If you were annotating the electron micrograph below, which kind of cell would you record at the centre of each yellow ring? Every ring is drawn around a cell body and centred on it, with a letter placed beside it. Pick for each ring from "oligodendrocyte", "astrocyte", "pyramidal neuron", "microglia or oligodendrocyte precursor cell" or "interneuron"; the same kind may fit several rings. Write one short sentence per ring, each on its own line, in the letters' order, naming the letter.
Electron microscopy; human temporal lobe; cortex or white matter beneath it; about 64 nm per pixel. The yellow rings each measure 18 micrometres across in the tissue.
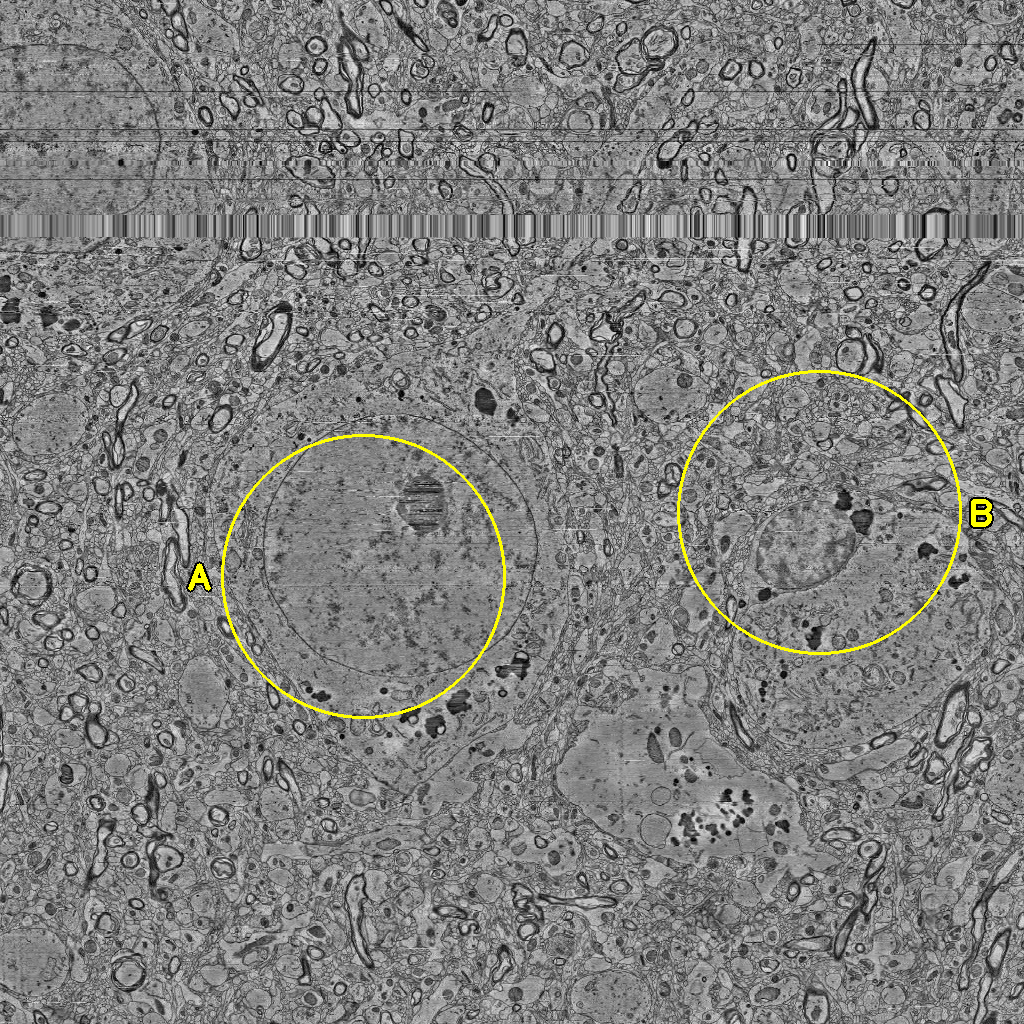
For ring A, I would record a pyramidal neuron.
For ring B, I would record an oligodendrocyte.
